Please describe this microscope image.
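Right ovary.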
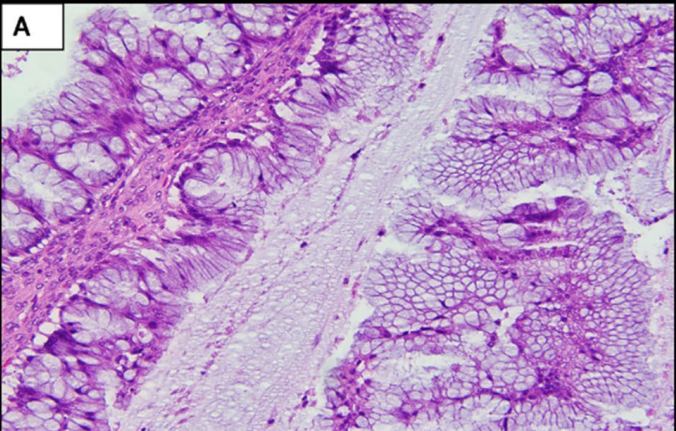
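The lining cells are tall and columnar, their cytoplasm packed with pale, clear-to-bubbly mucin so that the cells look vacuolated. The dark nuclei are pushed to the base of the cells and form a crowded row. The epithelium is folded into gland-like and papillary profiles supported by thin strands of pink stroma, with a pale band of mucin running between the epithelial fronds.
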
